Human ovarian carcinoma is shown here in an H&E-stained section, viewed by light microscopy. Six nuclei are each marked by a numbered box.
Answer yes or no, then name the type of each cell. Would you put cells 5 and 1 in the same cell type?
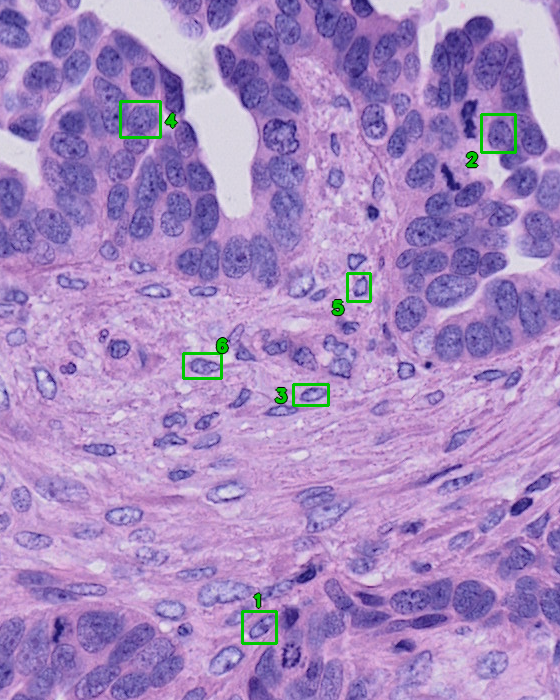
Yes, cells 5 and 1 are, both of them, fibroblasts.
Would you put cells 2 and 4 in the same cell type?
Yes, within the numbered set, cells 2 and 4 are both carcinoma cells.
